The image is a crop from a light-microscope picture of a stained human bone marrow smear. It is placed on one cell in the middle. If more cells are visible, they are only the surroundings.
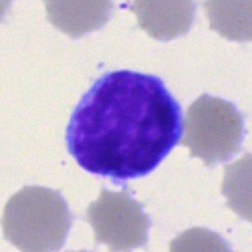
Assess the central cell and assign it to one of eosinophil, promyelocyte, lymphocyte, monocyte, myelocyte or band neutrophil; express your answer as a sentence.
This crop's central cell is a lymphocyte.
